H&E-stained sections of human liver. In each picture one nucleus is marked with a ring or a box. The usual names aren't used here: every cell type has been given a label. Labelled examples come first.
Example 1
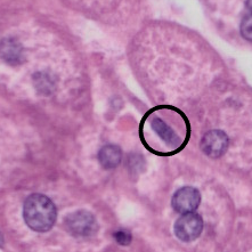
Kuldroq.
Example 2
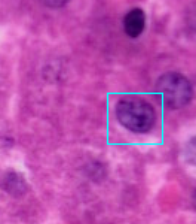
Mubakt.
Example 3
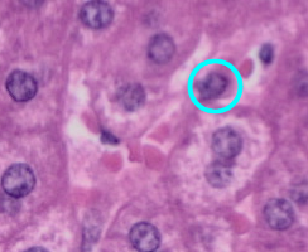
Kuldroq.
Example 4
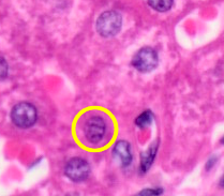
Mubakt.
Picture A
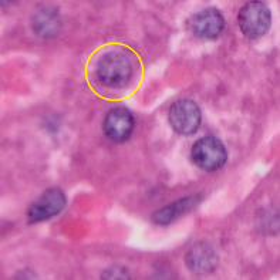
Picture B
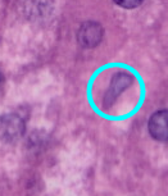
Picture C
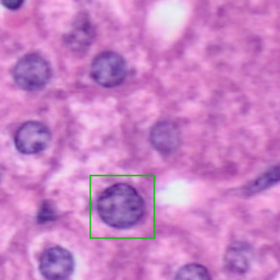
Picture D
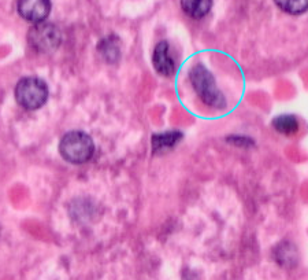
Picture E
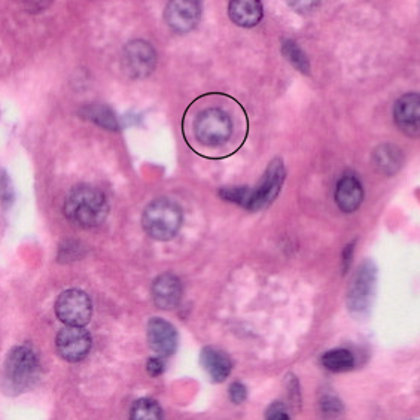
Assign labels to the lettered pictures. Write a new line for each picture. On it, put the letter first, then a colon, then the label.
A: Mubakt.
B: Kuldroq.
C: Mubakt.
D: Kuldroq.
E: Mubakt.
